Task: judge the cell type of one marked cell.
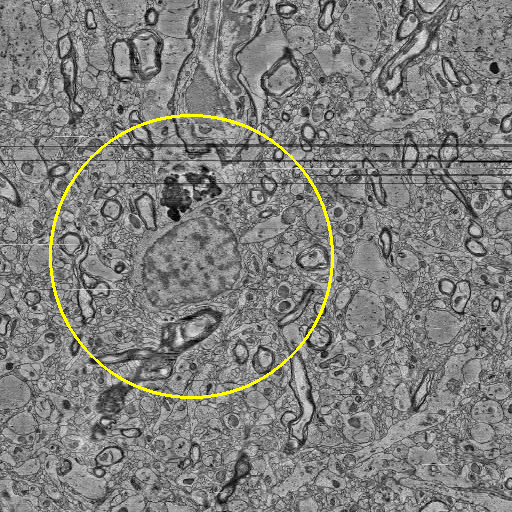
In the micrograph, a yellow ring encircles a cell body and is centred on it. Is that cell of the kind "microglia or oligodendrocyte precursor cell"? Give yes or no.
no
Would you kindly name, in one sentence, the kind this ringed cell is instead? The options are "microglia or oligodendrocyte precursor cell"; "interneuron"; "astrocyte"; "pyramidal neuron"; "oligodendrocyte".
Instead, the ring surrounds an oligodendrocyte in this picture.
